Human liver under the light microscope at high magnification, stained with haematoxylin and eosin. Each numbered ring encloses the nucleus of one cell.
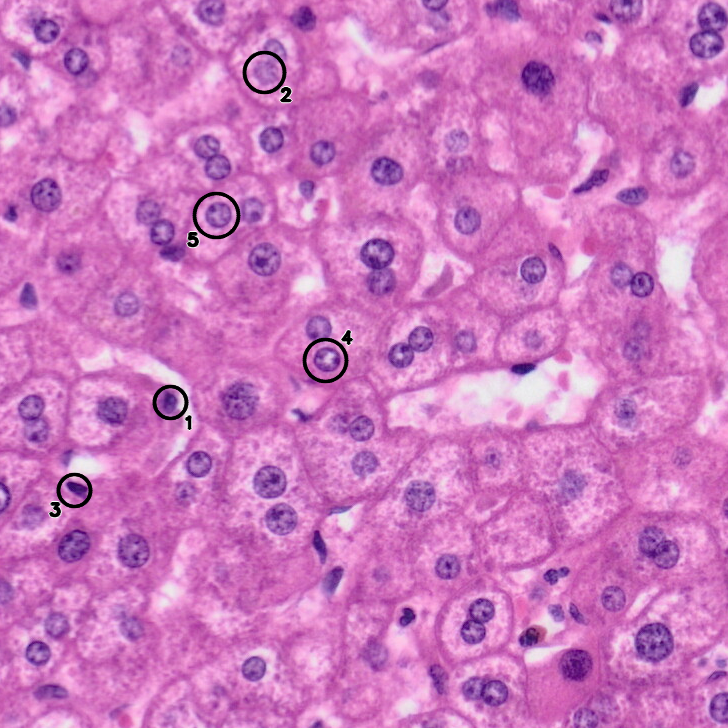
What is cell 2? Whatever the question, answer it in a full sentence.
Recognised here as a hepatocyte is the cell numbered 2.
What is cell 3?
The cell to which the number 3 is assigned is a fibroblast or stellate cell.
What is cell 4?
Here, the cell given the number 4 is a hepatocyte.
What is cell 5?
Cell 5, as marked in the section, is a hepatocyte.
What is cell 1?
In this section, number 1 marks a Kupffer cell.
